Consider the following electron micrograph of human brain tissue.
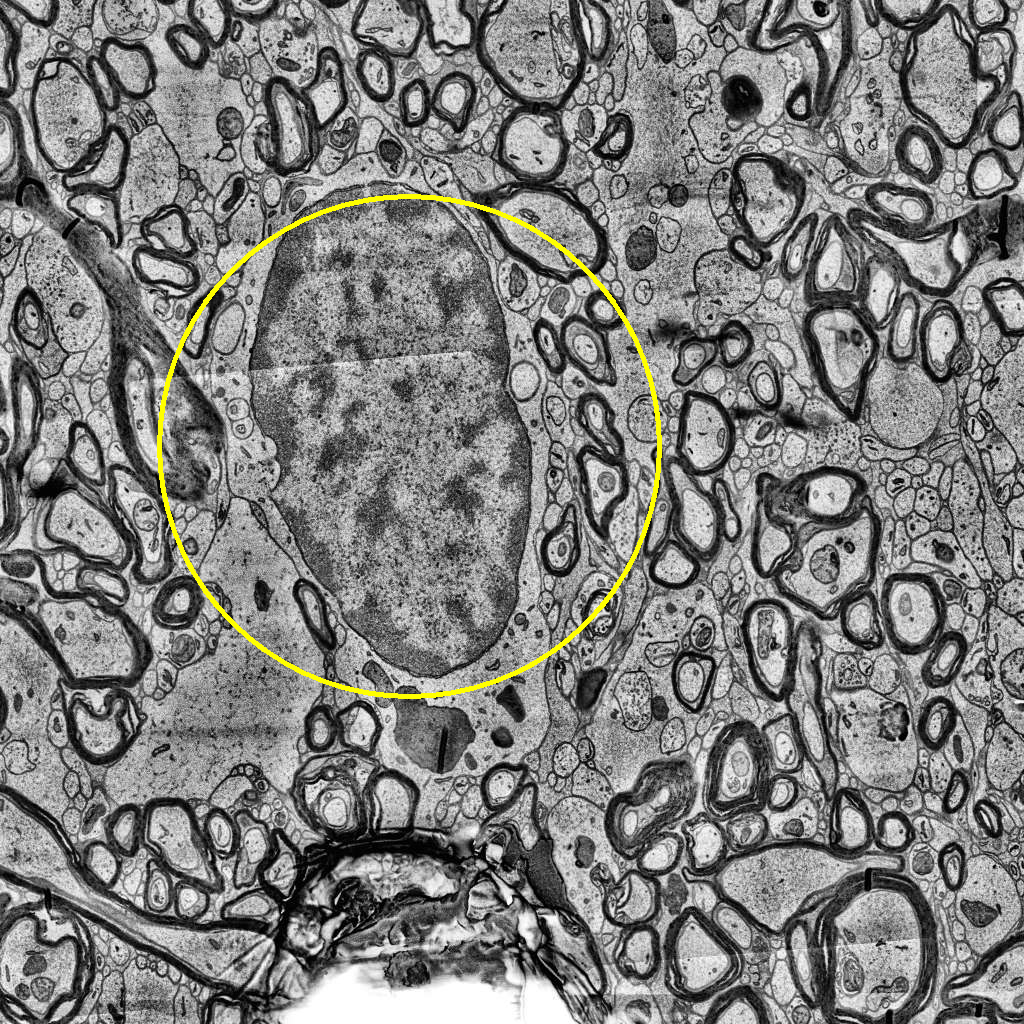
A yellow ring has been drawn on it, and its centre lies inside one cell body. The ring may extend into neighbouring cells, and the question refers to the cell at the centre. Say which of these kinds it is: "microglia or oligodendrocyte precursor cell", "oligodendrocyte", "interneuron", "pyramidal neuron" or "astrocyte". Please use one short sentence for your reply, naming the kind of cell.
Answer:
The centre of the ring falls on a microglial cell or oligodendrocyte precursor cell.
